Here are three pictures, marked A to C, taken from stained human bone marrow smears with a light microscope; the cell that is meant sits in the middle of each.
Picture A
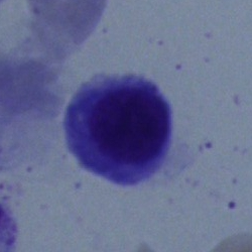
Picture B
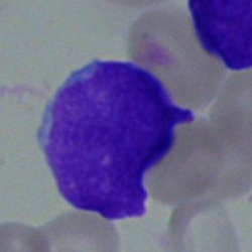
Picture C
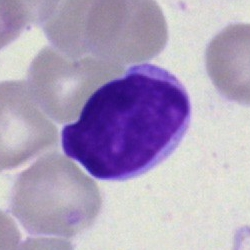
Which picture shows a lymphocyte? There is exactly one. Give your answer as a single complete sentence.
It is picture C that shows the lymphocyte.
